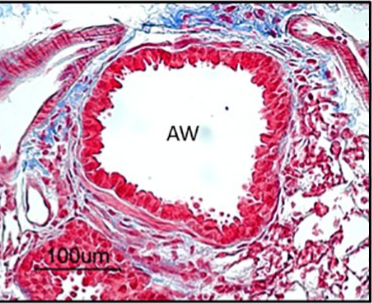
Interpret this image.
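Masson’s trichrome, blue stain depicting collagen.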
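This is a small airway of the lung cut across, with a wide clear lumen. It is lined by a single layer of tall red-stained epithelial cells with rounded tops bulging into the lumen. Around the epithelium lies a thin layer of elongated cells and pale fibres. Thin-walled alveolar tissue surrounds the airway, and another red-lined structure lies at the bottom of the picture.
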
